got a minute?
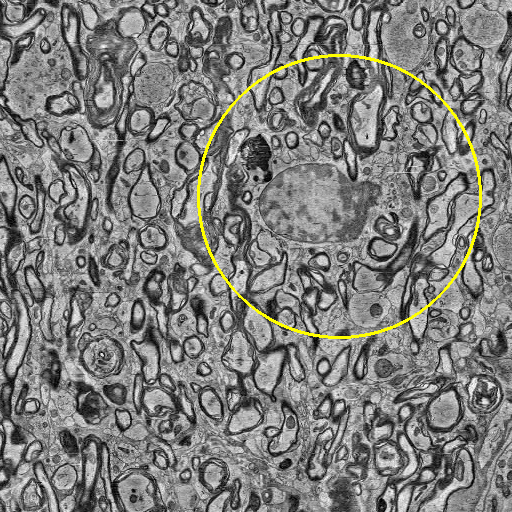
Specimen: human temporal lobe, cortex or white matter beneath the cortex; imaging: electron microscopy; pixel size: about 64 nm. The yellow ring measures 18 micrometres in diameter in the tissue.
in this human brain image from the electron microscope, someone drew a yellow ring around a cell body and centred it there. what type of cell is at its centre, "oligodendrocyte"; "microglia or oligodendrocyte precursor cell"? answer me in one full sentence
It's a microglial cell or oligodendrocyte precursor cell at the middle of that yellow ring in the shot.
